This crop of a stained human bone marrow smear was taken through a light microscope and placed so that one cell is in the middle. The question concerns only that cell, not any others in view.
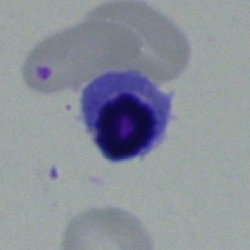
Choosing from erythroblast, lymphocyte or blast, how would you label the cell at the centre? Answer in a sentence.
The cell shown in the center of this light-microscope crop is an erythroblast.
